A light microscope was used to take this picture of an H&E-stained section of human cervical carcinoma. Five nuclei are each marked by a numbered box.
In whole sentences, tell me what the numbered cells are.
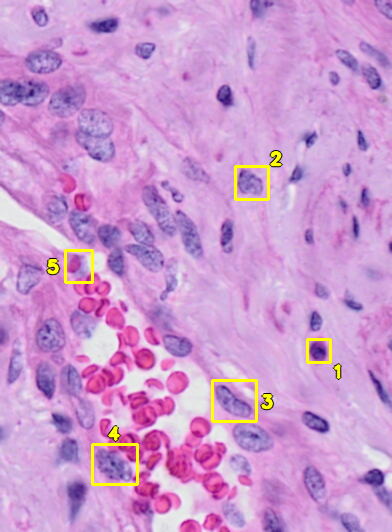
Cell 1 is a smooth muscle cell. Cell 2 is a fibroblast. Cells 3, 4 and 5 are endothelial cells.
